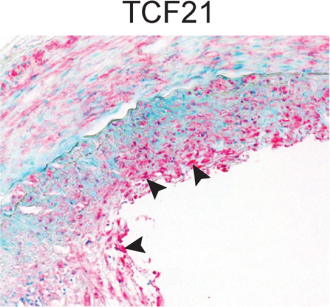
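A section of a thickened artery wall is seen, with an open lumen at the lower right and a wavy elastic line crossing the upper part. Inside that line lies a thick, cellular inner layer whose cells are densely speckled red, with blue-green nuclei showing between them. Outside the line the wall layer is paler, with fainter red and blue-green staining among fibrous tissue.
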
